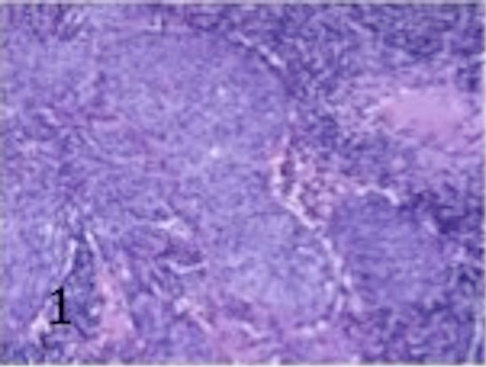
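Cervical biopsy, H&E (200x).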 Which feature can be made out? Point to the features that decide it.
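Densely packed cells with dark purple nuclei form large rounded groups. The groups are separated by thin paler strands. On this evidence: tumor cells arranged in nests.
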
